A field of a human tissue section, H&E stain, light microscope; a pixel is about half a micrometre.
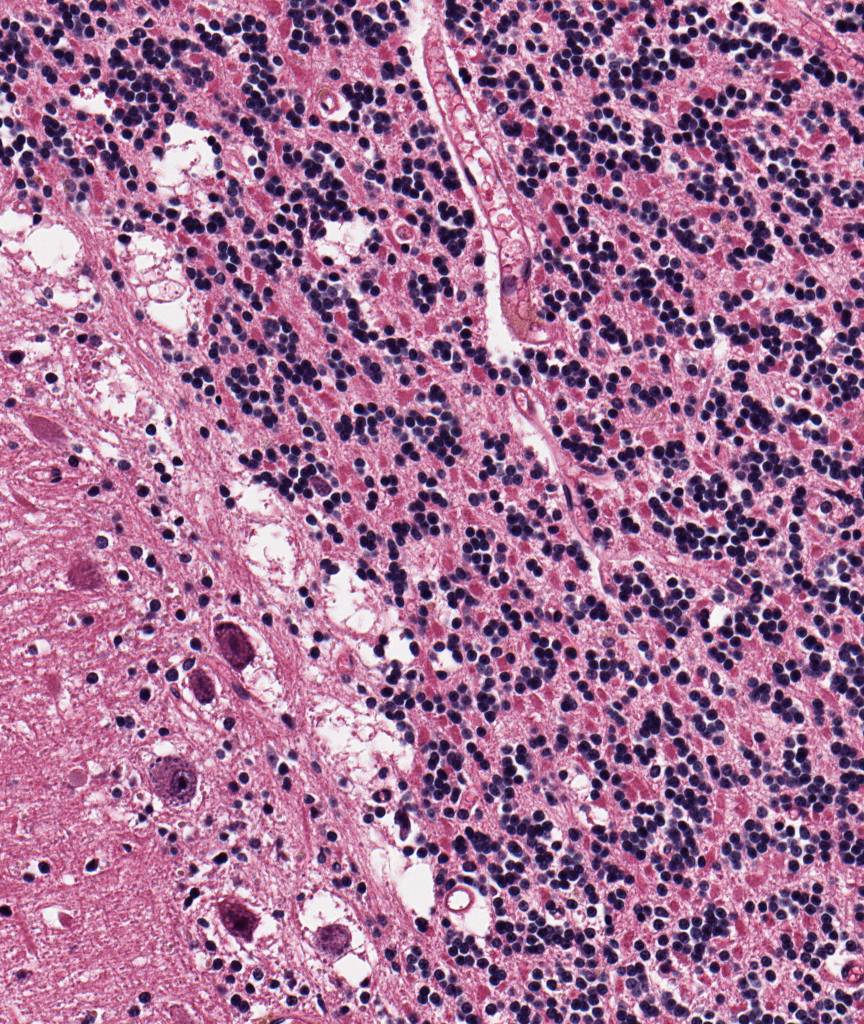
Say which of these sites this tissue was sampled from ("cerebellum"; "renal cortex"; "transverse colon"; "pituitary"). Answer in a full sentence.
The site this tissue was sampled from is the cerebellum.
